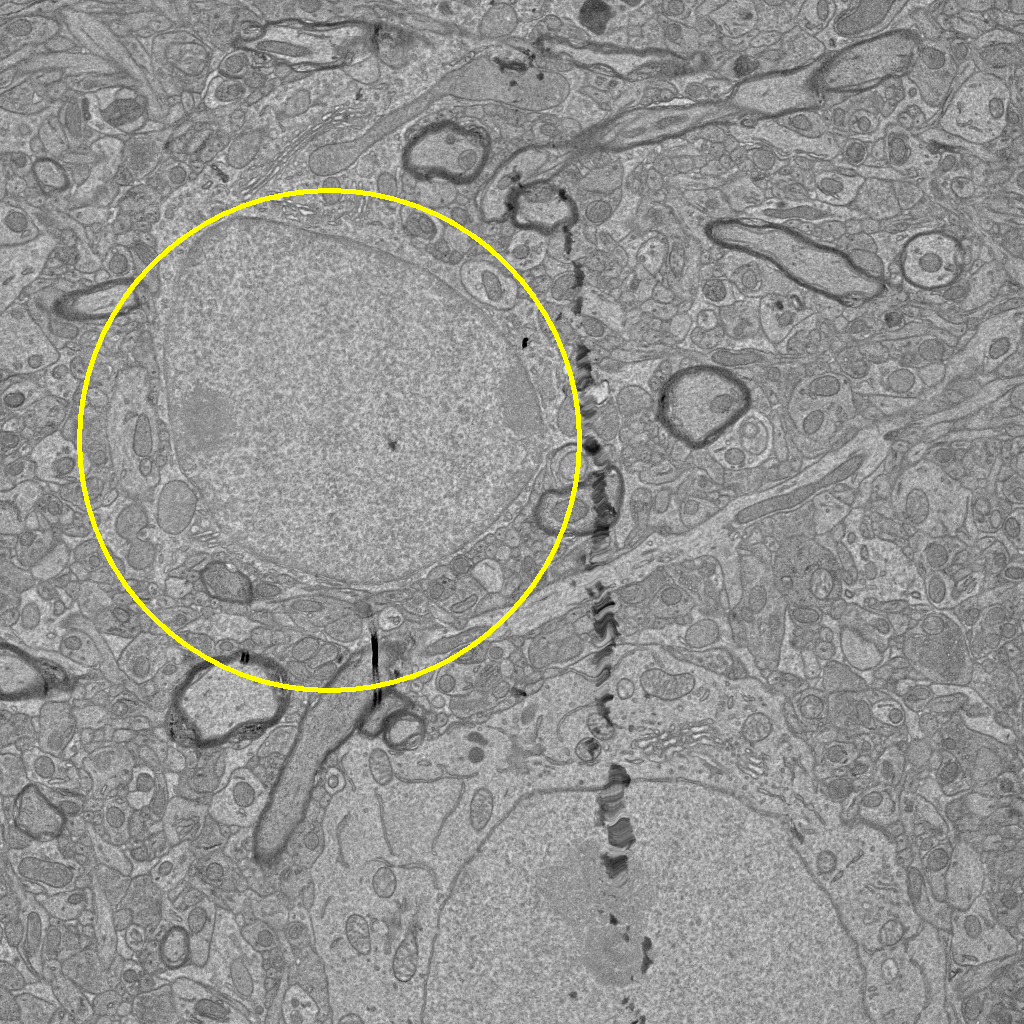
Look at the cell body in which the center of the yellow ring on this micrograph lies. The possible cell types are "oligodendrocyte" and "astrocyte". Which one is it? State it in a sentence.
The cell at the middle of the ring is an astrocyte.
